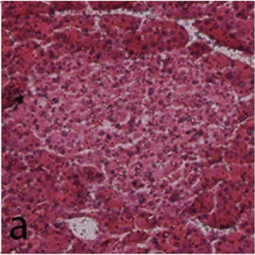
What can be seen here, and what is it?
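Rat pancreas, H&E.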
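An islet of endocrine cells lies in the middle of exocrine pancreatic tissue. The islet is a roughly oval, pale pink area of small, tightly packed cells with small dark nuclei. It is surrounded by acinar tissue with darker red cytoplasm, divided by thin white clefts. A small clear space lies near the lower edge of the islet.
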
